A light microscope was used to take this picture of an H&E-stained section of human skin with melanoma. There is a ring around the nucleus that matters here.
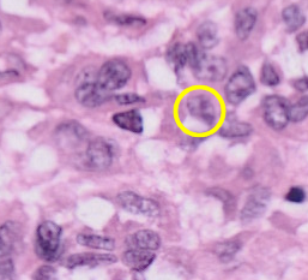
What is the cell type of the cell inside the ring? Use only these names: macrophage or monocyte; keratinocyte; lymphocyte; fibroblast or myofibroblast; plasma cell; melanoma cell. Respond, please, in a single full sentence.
Microscopically, the cell inside the ring is categorized as a melanoma cell.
